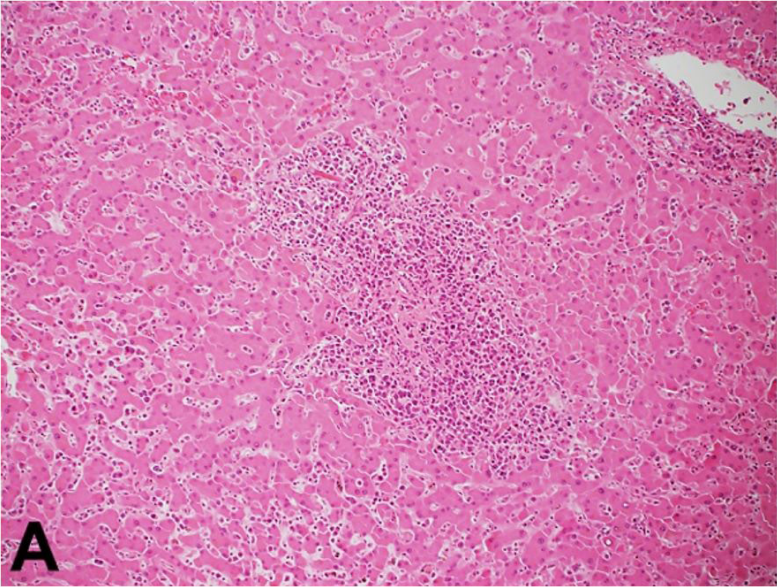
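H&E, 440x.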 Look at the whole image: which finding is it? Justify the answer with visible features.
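Lymphocytic infiltrate. A dense cluster of small round cells with dark nuclei and scant cytoplasm lies among the hepatocyte plates. Smaller groups of similar dark cells sit near a vessel at the upper right.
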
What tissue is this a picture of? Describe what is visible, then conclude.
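Cords of large polygonal pink cells with central round nuclei. Sinusoid-like spaces run between the cell cords. So: Liver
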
